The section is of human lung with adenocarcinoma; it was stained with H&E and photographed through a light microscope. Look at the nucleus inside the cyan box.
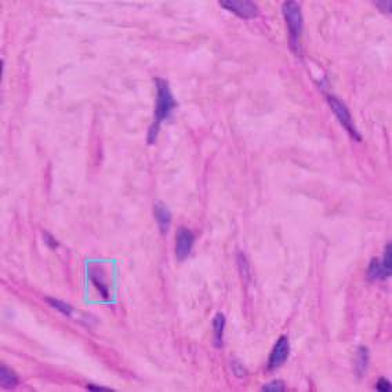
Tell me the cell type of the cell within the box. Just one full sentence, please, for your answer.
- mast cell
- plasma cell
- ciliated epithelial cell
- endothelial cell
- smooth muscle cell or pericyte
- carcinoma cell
In the tissue under study, the cell within the box is a smooth muscle cell or pericyte.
